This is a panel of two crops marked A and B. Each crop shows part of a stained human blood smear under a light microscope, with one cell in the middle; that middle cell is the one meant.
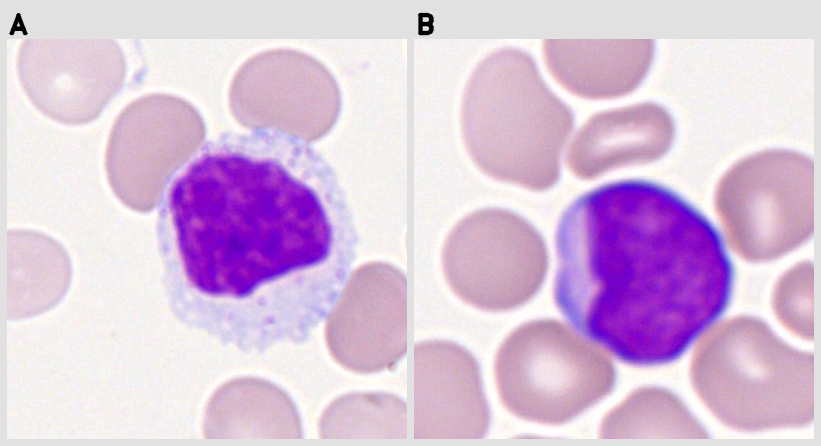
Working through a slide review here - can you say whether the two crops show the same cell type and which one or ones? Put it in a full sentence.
No, it is crop A that shows a lymphocyte, and crop B that shows a myeloblast.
